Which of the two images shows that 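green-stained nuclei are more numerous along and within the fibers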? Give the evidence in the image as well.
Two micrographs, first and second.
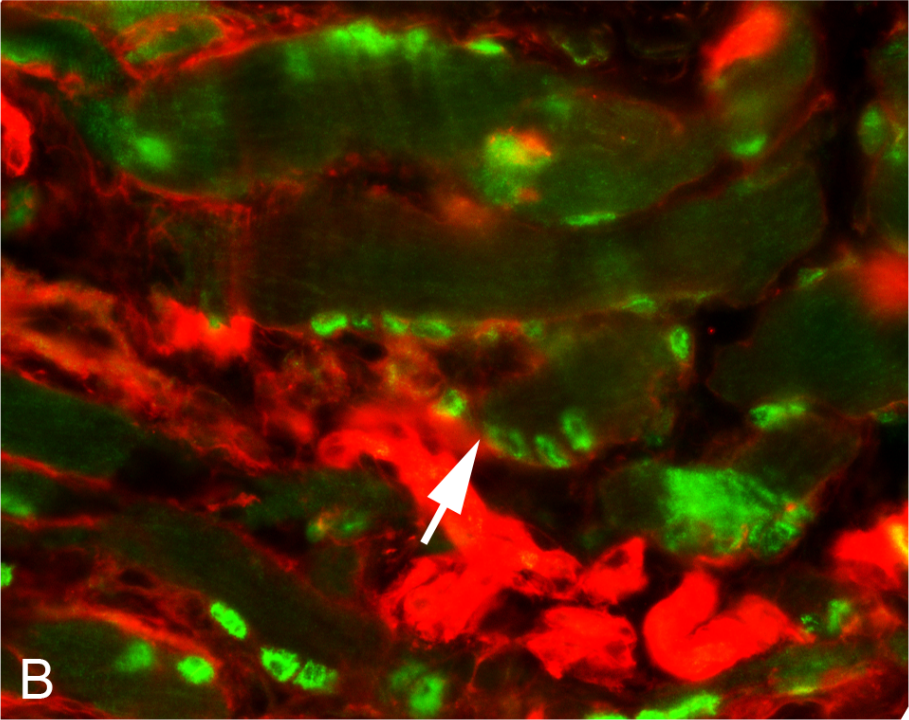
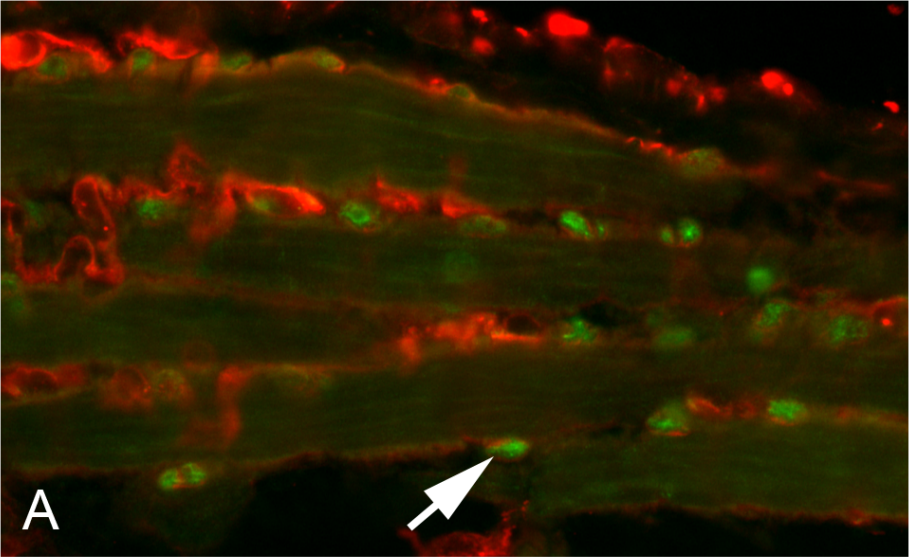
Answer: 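First image: many green nuclei are clustered along the fiber margins and inside the fibers. Second image: green nuclei are sparse and scattered along the fibers.
Answer: the first image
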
